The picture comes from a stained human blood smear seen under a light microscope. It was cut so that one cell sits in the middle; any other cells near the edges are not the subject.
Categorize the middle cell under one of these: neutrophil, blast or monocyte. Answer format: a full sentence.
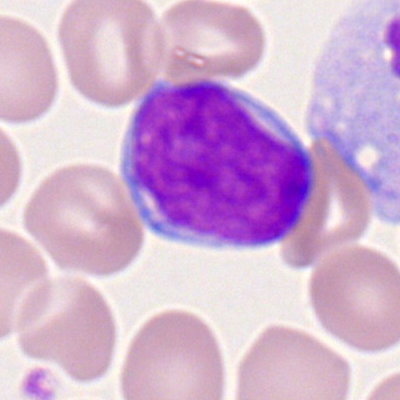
This crop has a blast at its centre.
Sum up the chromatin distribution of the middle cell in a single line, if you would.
The chromatin within its nucleus forms coarse clumps.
